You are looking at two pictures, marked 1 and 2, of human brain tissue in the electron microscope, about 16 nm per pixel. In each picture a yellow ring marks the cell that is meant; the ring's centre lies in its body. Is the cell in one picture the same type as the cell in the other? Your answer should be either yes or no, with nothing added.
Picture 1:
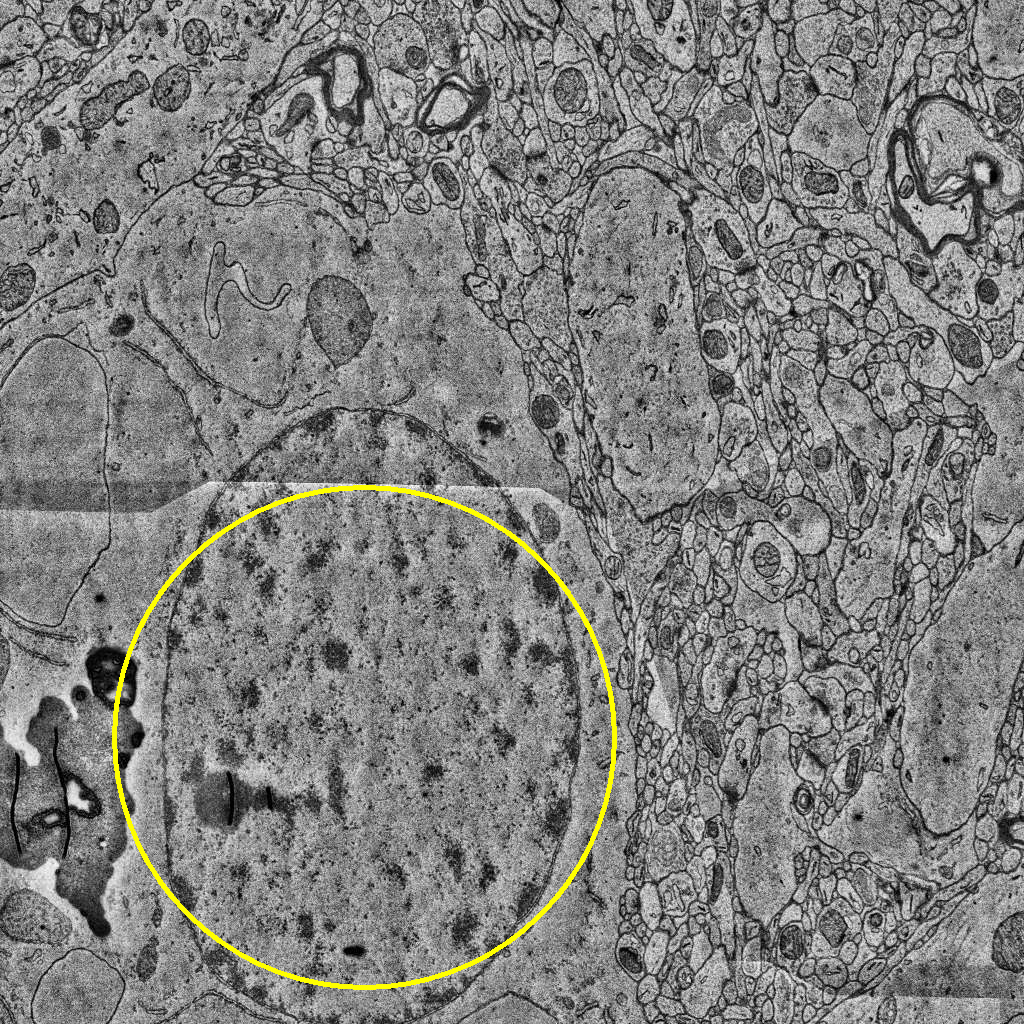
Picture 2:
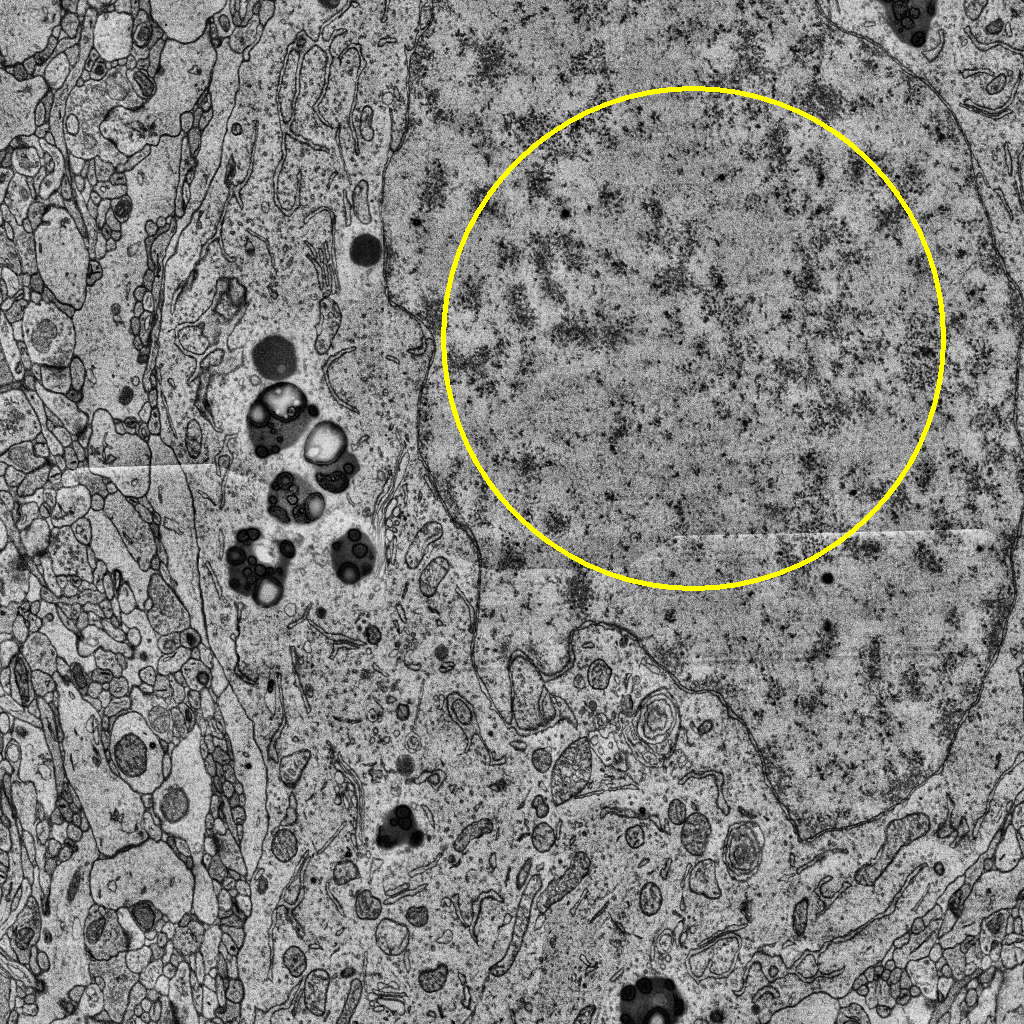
no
